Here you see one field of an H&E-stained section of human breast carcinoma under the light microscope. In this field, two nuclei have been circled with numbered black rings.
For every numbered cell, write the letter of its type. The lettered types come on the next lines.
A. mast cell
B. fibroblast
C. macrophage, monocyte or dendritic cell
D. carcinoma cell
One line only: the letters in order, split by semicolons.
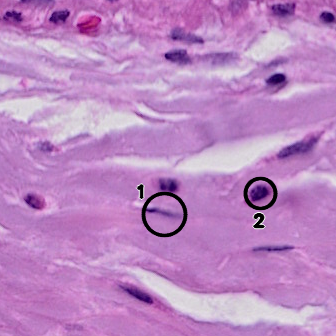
B; A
